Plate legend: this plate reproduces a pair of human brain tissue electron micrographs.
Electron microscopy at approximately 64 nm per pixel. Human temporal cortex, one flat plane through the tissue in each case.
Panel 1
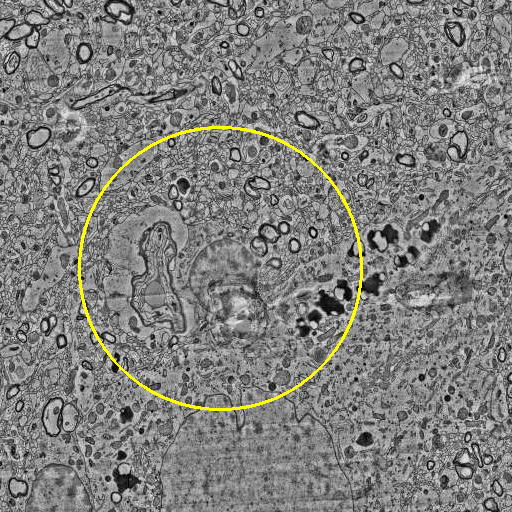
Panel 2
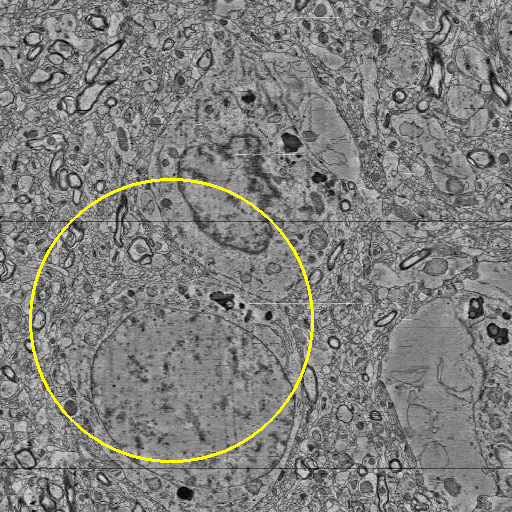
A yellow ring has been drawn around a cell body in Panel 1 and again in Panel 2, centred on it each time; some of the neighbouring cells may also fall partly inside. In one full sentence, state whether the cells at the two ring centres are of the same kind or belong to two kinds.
The ring-centred cells of Panel 1 and Panel 2 belong to two kinds.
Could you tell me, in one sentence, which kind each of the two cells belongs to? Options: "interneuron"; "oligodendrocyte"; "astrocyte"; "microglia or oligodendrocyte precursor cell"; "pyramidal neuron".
At the centre of the first ring sits an oligodendrocyte, and at the centre of the second sits a pyramidal neuron.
